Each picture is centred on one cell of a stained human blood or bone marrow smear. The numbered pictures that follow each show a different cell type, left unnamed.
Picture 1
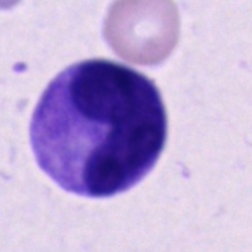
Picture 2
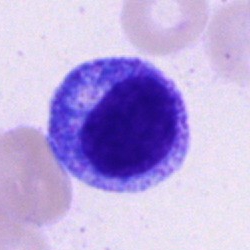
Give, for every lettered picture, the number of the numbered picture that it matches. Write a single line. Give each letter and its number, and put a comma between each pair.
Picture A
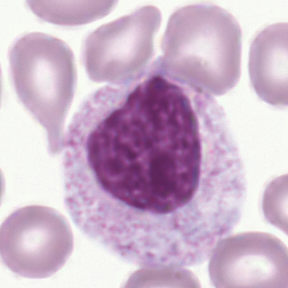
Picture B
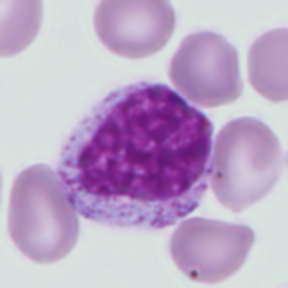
A 2, B 1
